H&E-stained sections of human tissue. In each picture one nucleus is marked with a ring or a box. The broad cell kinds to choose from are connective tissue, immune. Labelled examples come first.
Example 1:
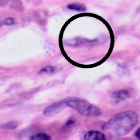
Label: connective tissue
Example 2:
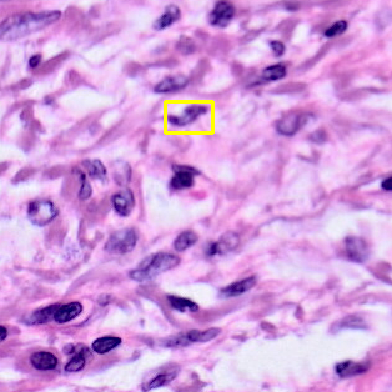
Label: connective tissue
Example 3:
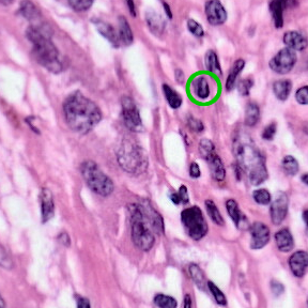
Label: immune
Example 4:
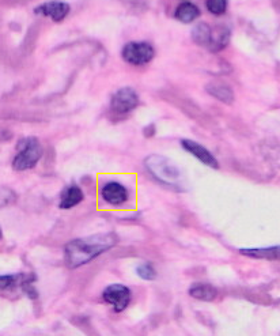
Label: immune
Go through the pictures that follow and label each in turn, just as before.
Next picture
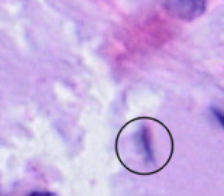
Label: connective tissue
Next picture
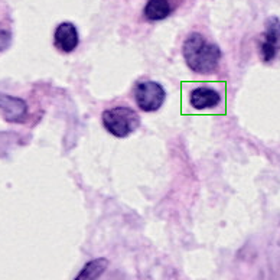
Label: immune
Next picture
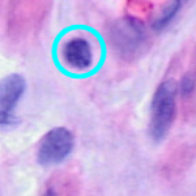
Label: immune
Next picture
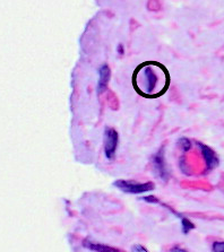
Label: connective tissue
